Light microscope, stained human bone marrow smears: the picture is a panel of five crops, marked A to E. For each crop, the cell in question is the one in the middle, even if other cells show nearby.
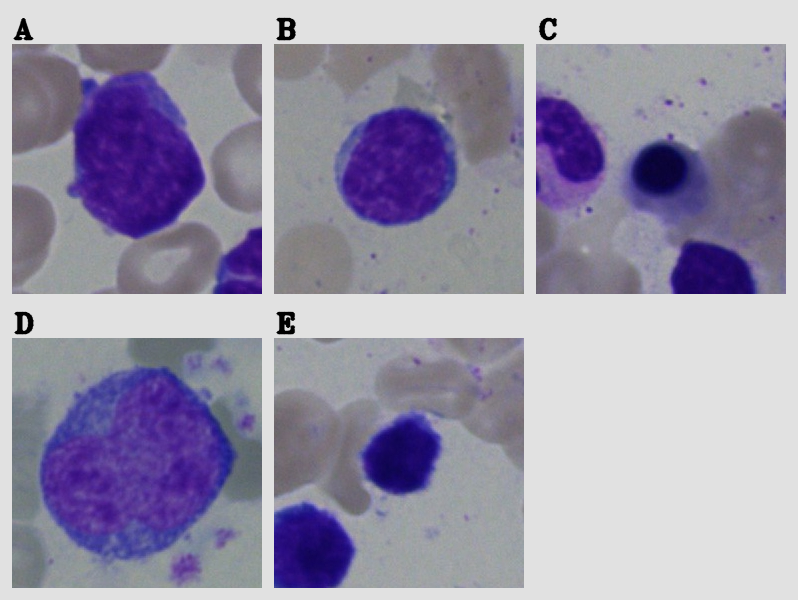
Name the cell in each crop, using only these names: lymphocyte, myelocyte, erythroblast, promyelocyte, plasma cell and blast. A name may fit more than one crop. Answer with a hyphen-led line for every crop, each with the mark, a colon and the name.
- A: blast
- B: lymphocyte
- C: erythroblast
- D: blast
- E: lymphocyte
